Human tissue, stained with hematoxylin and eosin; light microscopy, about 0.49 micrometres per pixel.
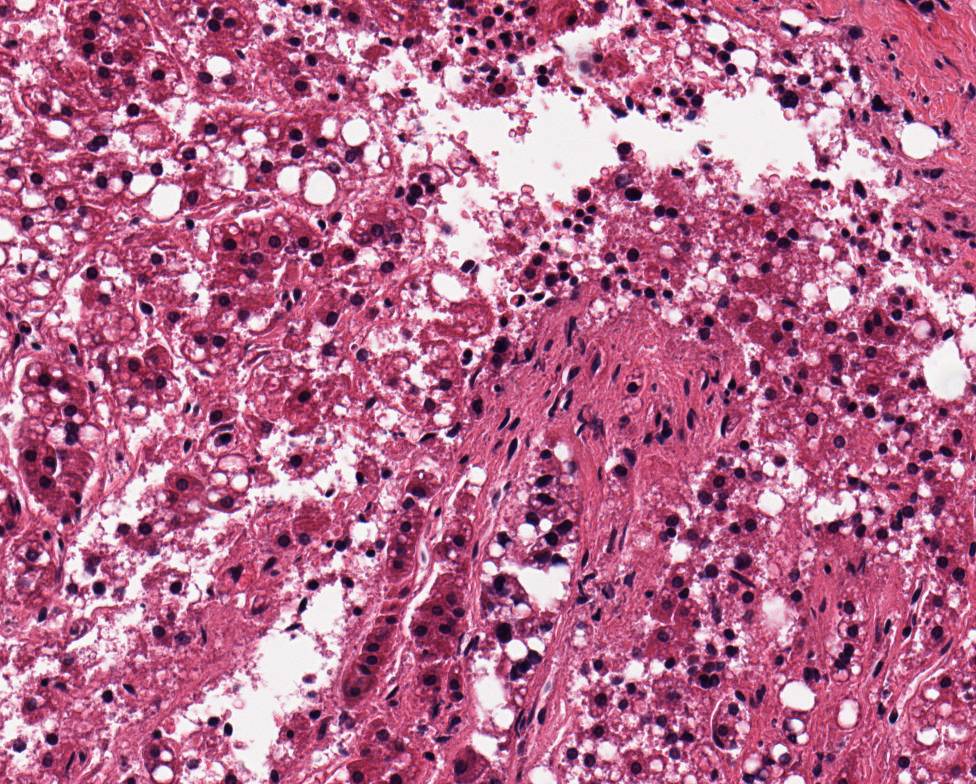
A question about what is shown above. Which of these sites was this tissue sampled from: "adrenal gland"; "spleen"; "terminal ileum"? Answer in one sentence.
The site this tissue was sampled from is the adrenal gland.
